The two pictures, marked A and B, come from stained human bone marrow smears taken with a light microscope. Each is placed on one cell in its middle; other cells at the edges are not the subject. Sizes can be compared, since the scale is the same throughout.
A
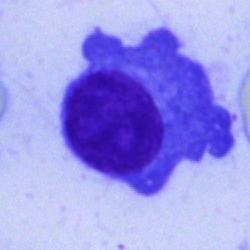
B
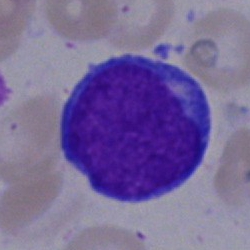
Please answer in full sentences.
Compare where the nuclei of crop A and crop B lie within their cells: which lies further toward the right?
The nucleus in crop B lies further toward the right of its cell.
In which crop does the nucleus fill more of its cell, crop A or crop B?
It is the cell in crop B that is filled more by its nucleus.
